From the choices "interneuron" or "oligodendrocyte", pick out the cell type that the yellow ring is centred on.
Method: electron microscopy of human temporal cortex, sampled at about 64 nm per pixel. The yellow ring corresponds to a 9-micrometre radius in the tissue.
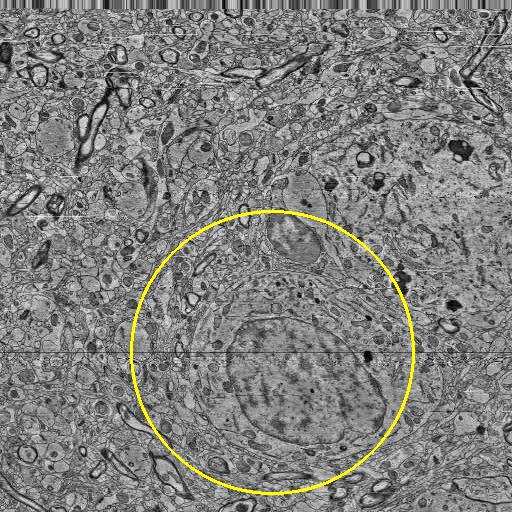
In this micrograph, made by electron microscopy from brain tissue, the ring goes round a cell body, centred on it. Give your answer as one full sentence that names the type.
The yellow ring is centred on an interneuron, whose cell body it encircles in the picture.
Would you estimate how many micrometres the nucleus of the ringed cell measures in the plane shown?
The nucleus comes to roughly 11 by 8 micrometres in this plane.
